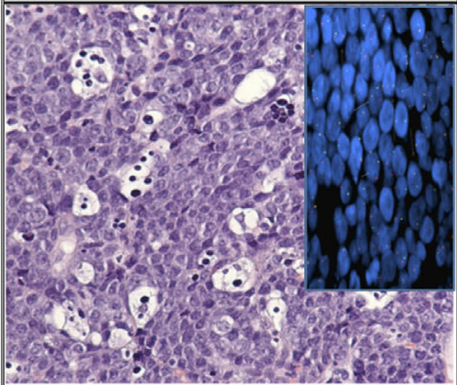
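Scattered through the sheet are rounded clear spaces, each holding a pale macrophage stuffed with dark fragments of dead cells, which give the well-known starry-sky pattern. The inset is a fluorescence image in which the nuclei appear blue and small coloured dots mark the probe signals inside them.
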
